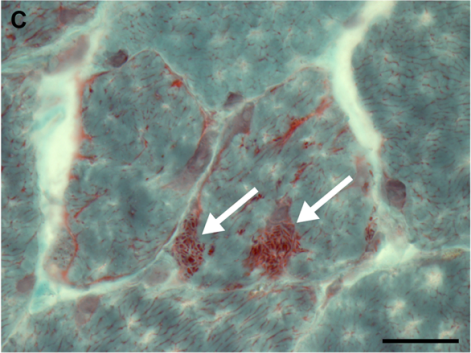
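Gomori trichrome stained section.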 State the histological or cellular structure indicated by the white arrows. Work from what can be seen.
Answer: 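The arrows point to clusters of small dark red granular particles inside a fiber. The clusters lie against the blue-green sarcoplasm of the fiber. The answer: nemaline rods.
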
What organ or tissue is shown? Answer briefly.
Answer: muscle fibers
